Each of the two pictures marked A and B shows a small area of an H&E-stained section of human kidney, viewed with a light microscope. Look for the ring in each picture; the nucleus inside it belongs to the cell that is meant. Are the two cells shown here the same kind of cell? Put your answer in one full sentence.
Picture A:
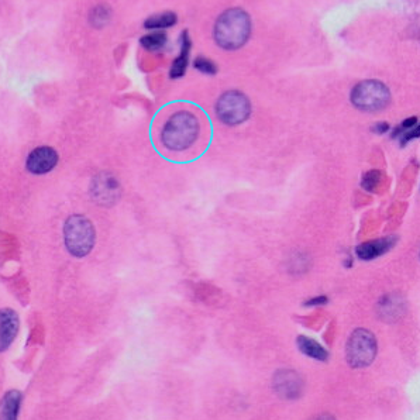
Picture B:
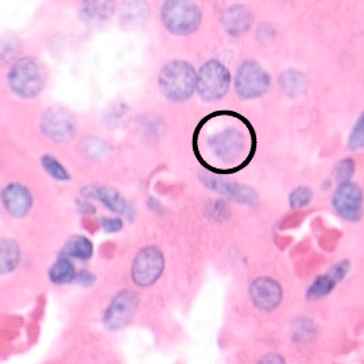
No, the types are not the same, since picture A shows a proximal tubule cell and picture B a “loop of Henle or distal tubule cell”.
